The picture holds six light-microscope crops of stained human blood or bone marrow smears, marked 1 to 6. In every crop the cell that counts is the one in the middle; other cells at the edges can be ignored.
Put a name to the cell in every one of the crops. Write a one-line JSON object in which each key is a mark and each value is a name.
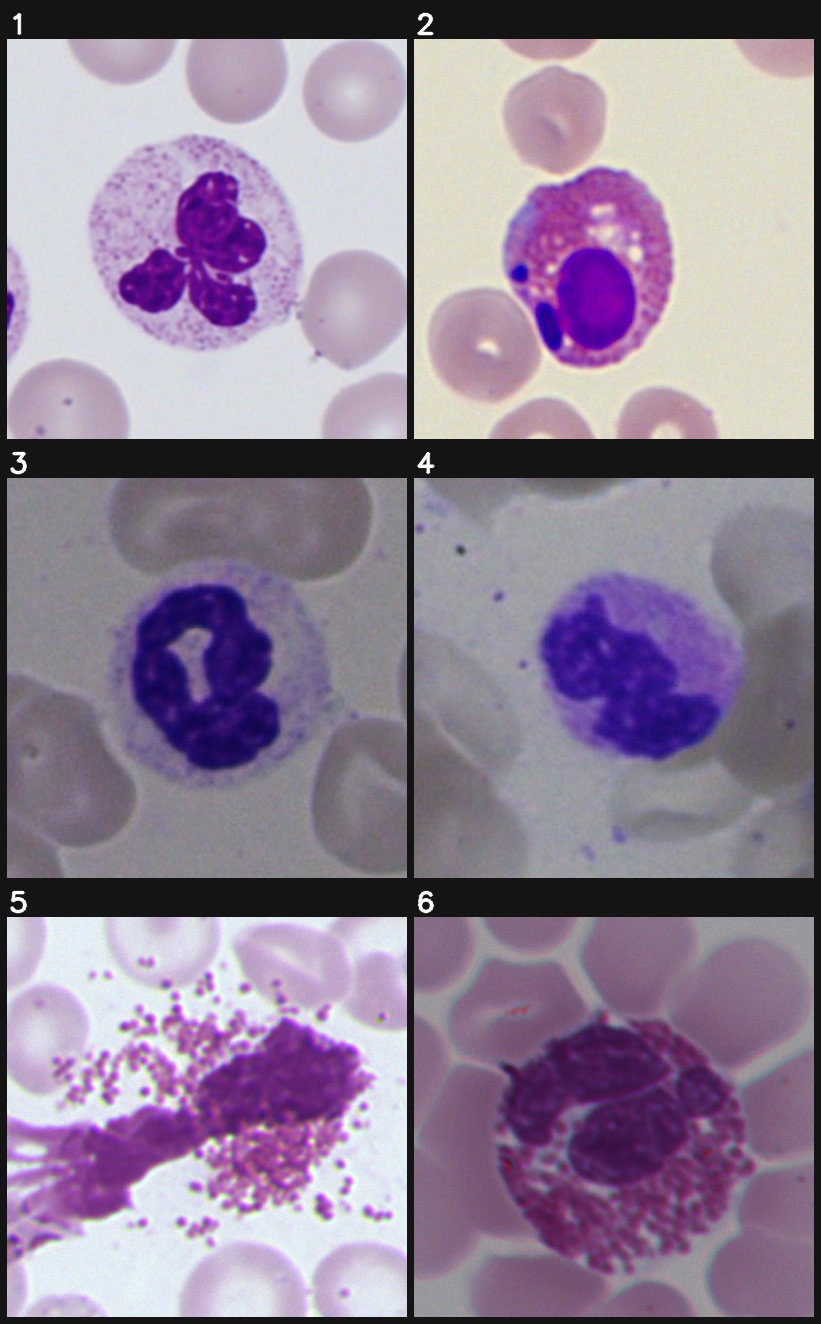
{"1": "segmented neutrophil", "2": "eosinophil", "3": "segmented neutrophil", "4": "segmented neutrophil", "5": "eosinophil", "6": "eosinophil"}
